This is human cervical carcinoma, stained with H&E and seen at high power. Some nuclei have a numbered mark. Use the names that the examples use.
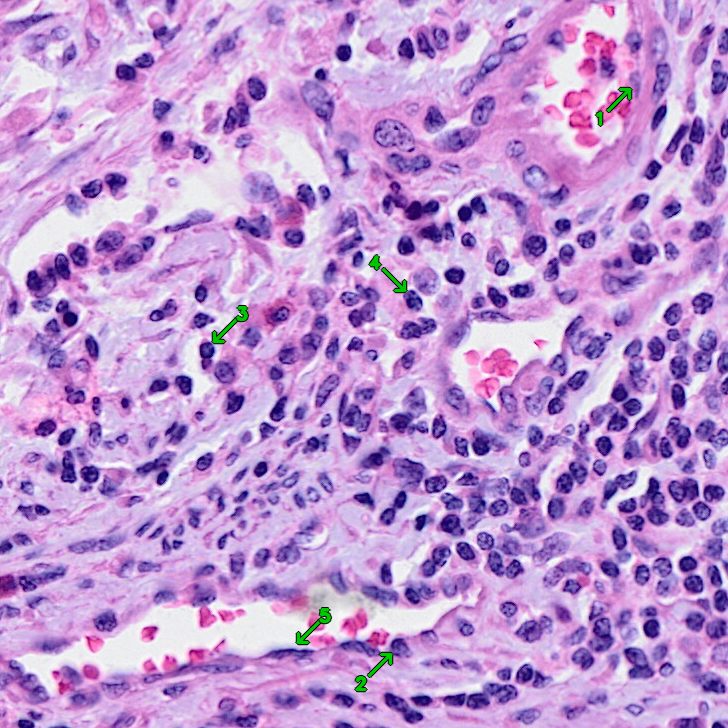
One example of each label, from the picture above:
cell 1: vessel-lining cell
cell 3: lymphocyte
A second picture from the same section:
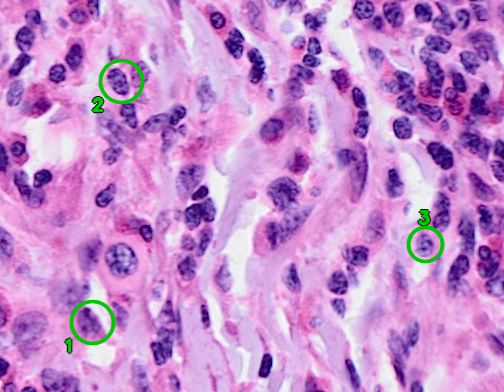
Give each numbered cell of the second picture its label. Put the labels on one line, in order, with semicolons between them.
vessel-lining cell; lymphocyte; lymphocyte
